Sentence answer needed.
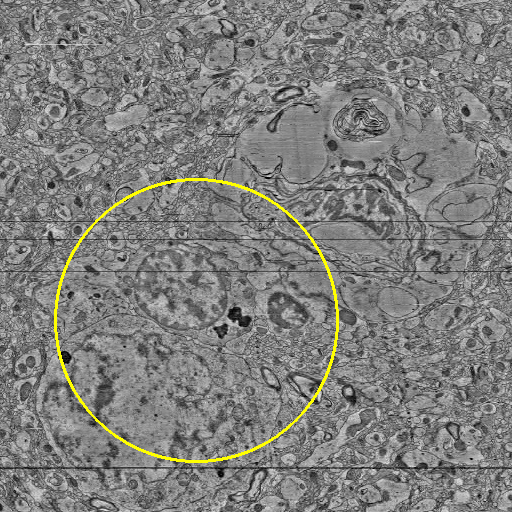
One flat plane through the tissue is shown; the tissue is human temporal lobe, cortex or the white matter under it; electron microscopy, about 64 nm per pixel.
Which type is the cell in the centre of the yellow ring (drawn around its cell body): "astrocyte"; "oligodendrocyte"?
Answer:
In the centre of the yellow ring is an oligodendrocyte.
